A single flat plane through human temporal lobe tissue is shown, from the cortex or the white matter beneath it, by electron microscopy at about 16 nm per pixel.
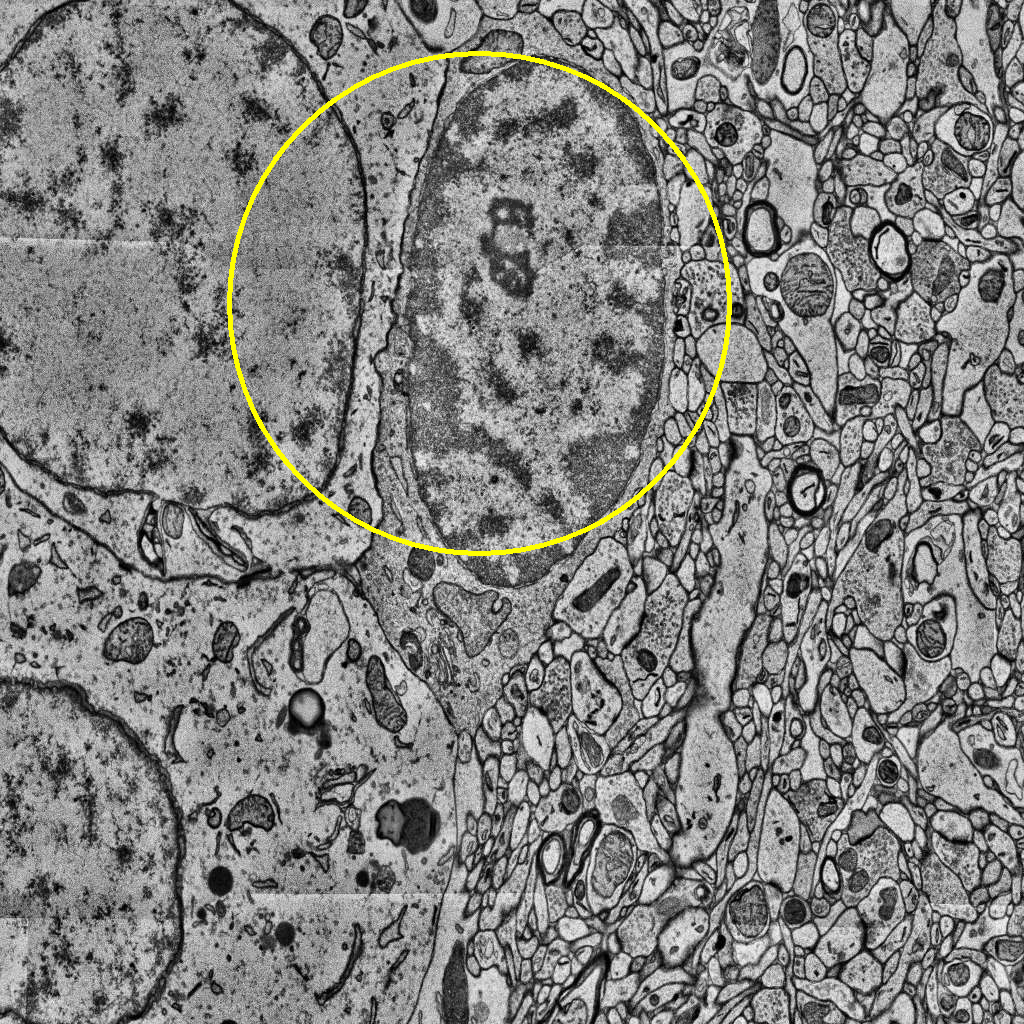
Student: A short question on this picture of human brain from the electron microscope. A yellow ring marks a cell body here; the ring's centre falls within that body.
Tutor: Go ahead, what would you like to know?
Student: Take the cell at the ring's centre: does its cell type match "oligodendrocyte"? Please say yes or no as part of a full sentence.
Yes, in the picture, the cell at the ring's centre has that cell type.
